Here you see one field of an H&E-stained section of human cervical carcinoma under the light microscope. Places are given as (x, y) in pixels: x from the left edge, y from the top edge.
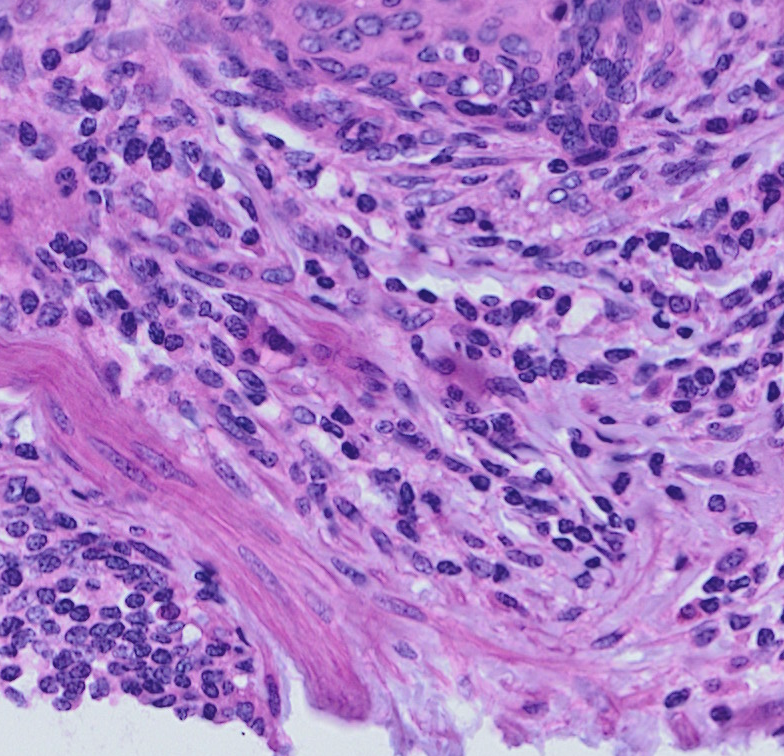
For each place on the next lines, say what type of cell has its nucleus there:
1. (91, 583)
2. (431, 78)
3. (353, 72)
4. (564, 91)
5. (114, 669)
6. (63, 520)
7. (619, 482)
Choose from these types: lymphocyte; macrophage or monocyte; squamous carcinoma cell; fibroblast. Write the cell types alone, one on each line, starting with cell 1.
lymphocyte
squamous carcinoma cell
squamous carcinoma cell
squamous carcinoma cell
lymphocyte
lymphocyte
lymphocyte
